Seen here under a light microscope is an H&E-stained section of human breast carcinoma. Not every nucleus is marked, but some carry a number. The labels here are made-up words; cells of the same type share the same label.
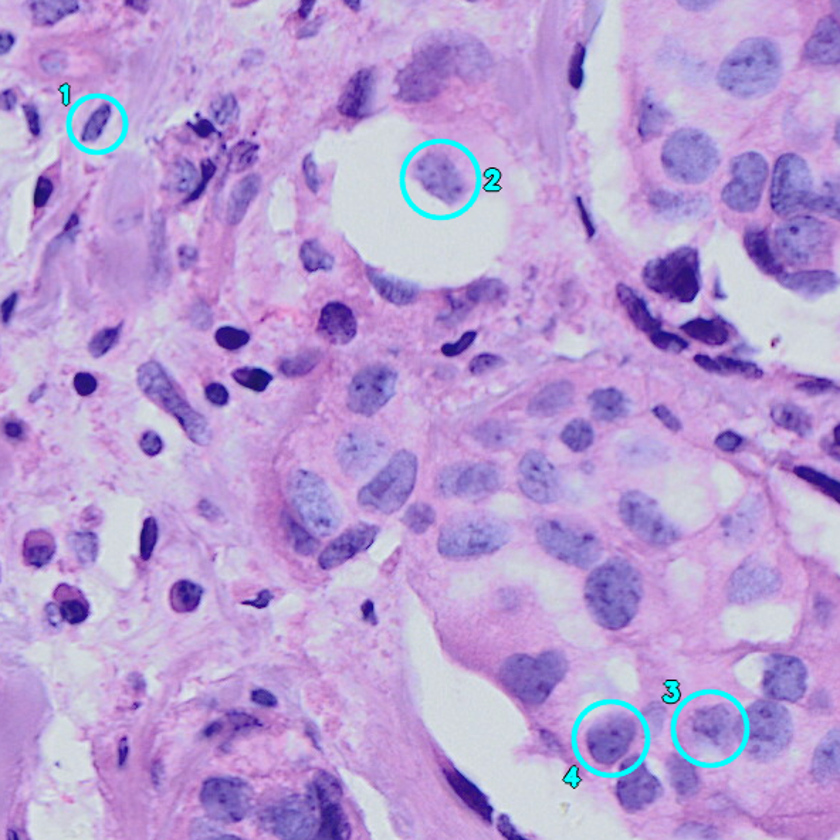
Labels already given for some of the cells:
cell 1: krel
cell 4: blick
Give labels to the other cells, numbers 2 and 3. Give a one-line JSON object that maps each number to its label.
{"2": "blick", "3": "blick"}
